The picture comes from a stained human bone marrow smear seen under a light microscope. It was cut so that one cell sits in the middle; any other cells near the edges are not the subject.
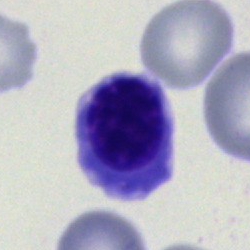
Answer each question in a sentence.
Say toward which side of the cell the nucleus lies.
The nucleus lies toward the top of the cell.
